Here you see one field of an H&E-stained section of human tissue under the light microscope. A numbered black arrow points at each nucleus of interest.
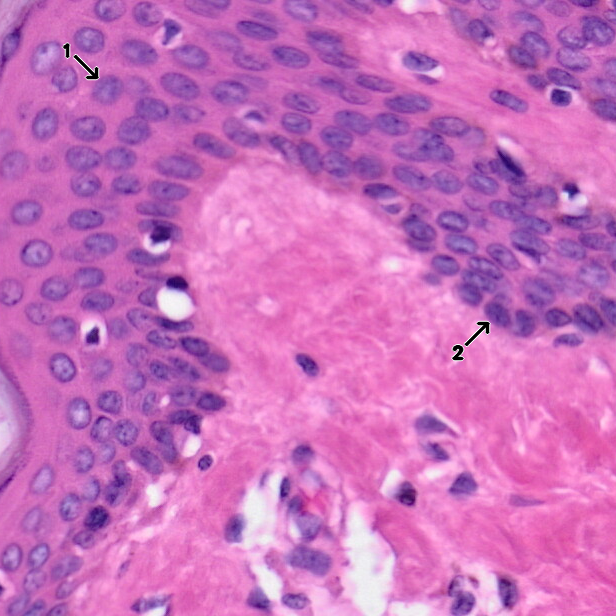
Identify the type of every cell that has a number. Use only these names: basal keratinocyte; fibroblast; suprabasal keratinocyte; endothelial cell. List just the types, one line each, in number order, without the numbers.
suprabasal keratinocyte
basal keratinocyte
